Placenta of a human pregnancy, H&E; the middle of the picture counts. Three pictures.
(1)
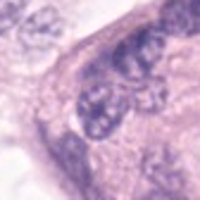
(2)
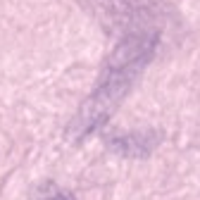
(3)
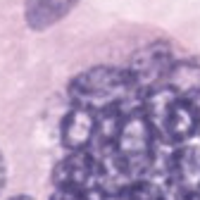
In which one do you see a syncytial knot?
In picture 3.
